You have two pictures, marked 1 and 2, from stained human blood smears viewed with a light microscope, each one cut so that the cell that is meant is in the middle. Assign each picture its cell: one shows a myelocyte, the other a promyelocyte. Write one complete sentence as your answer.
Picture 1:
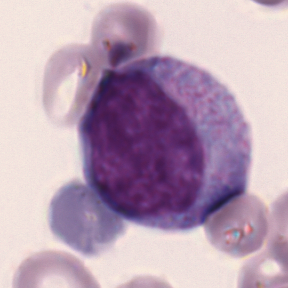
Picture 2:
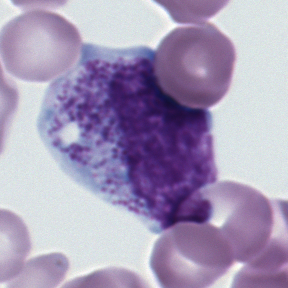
It is picture 1 that shows a promyelocyte, and picture 2 that shows a myelocyte.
